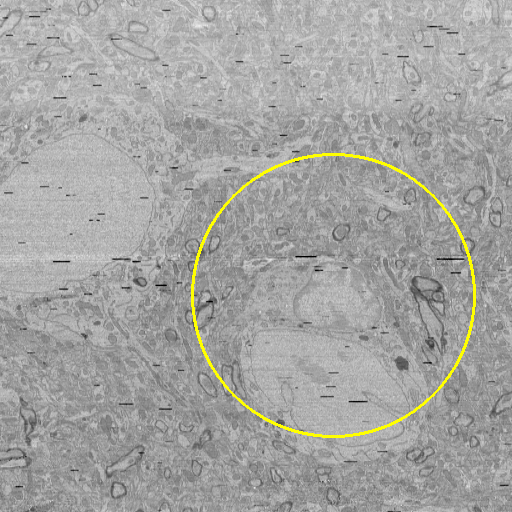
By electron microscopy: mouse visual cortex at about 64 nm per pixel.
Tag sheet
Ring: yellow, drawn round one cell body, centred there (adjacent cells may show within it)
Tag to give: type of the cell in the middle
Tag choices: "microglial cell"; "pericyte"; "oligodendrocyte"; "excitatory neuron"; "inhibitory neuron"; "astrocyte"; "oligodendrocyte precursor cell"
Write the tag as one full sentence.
I tag the cell centred in the yellow ring as an oligodendrocyte in this picture.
